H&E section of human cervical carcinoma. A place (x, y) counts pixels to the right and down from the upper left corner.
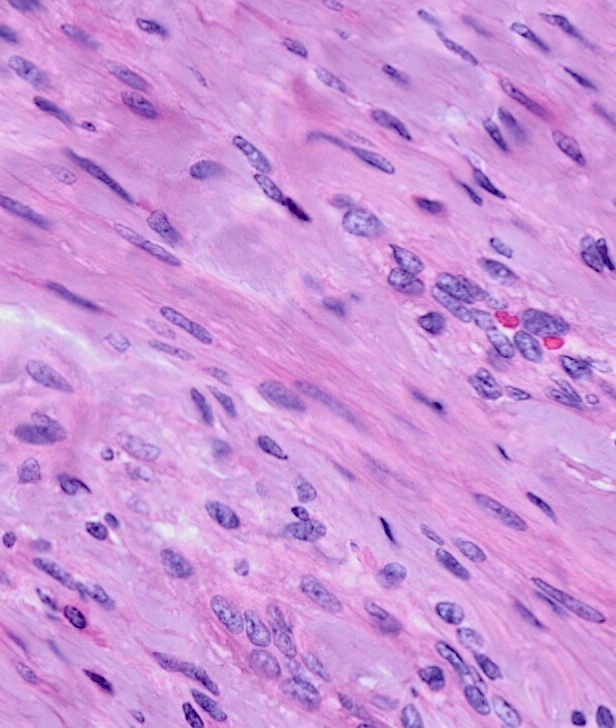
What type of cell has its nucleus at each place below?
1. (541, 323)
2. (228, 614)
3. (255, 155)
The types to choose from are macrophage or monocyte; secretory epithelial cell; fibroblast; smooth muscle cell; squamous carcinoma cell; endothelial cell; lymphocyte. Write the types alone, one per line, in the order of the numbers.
endothelial cell
endothelial cell
fibroblast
